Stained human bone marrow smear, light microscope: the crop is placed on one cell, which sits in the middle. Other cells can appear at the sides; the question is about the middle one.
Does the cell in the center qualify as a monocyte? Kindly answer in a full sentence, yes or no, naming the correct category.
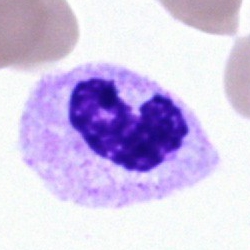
No, the central cell is not to be called a monocyte, being a segmented neutrophil.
